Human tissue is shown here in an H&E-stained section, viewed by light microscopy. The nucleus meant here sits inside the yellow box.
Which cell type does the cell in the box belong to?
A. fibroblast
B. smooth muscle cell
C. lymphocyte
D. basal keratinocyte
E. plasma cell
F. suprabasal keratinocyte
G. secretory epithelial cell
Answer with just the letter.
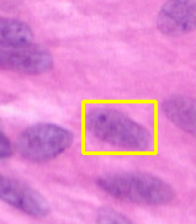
A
